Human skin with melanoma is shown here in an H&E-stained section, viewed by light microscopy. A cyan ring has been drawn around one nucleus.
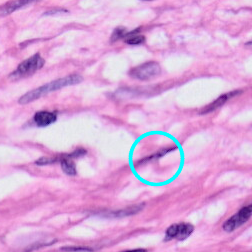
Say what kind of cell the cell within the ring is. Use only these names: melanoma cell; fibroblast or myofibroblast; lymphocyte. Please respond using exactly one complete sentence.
What the cell within the ring represents is a fibroblast or myofibroblast.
